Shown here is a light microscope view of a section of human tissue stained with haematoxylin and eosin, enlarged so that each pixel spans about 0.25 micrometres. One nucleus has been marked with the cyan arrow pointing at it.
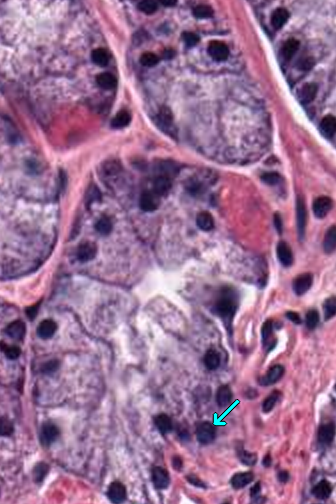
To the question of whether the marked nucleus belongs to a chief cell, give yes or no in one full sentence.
Yes, within this field the marked nucleus is that of a chief cell.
